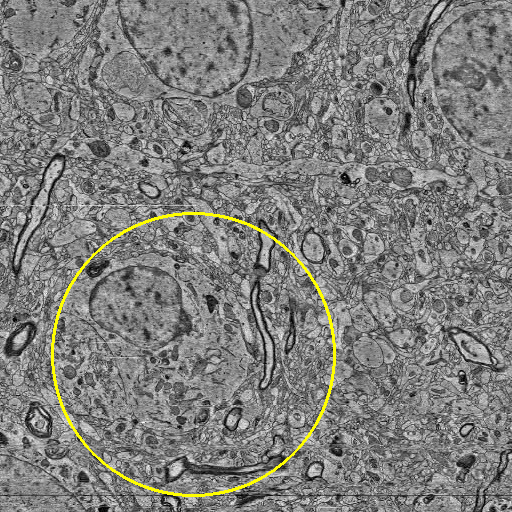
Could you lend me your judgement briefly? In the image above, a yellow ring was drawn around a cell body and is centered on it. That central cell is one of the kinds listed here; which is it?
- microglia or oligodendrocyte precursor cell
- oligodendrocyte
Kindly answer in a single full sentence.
Going by the list, a microglial cell or oligodendrocyte precursor cell is the kind at the ring's center in the picture.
